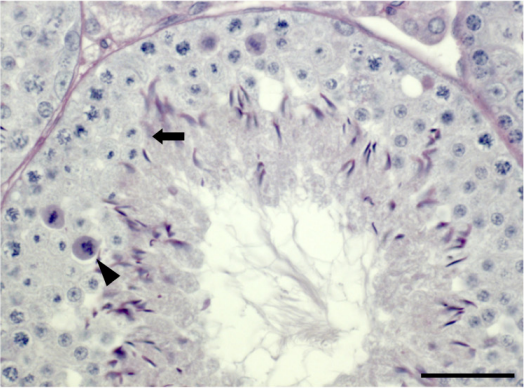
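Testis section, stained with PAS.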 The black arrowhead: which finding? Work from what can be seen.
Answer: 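The marked cell is round with a dense, dark, compact nucleus. Its cytoplasm is darker purple than that of neighbouring cells. On this evidence: cell death.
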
